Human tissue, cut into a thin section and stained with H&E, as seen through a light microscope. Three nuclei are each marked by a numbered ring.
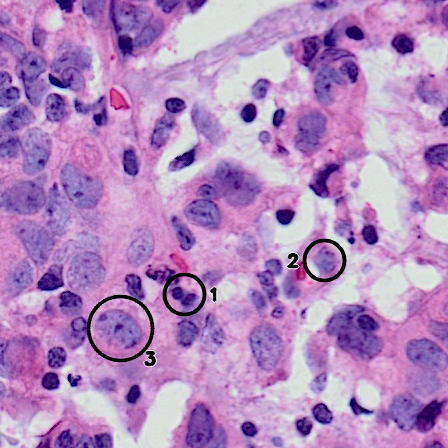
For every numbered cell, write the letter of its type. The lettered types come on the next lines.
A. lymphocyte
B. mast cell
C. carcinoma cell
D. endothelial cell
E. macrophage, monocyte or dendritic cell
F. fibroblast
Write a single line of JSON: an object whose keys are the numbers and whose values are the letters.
{"1": "A", "2": "D", "3": "C"}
